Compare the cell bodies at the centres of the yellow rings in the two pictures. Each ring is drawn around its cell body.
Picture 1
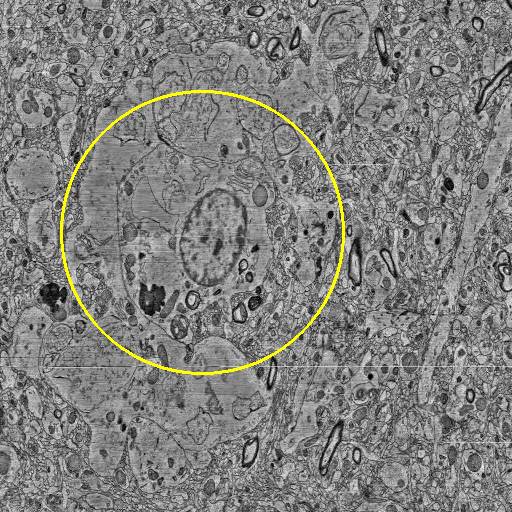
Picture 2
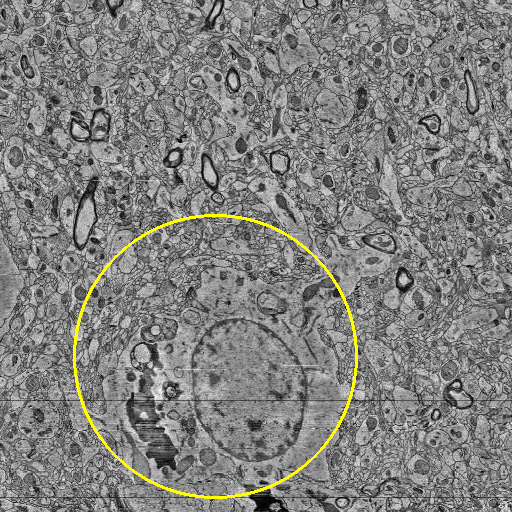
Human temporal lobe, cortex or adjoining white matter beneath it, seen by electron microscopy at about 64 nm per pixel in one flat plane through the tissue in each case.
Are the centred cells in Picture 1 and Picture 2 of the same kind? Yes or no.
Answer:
yes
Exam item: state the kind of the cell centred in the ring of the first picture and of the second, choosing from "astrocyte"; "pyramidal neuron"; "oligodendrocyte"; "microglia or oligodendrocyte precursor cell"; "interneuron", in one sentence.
In the first picture and in the second, the ring is centred on an astrocyte.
